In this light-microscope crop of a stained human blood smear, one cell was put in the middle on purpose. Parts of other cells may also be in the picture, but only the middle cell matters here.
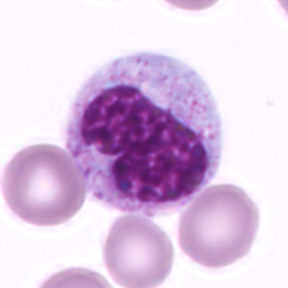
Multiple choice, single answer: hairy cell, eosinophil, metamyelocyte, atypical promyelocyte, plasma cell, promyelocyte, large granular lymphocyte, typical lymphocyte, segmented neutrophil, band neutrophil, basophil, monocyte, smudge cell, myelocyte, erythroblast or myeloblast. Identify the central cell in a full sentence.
The middle of this crop holds a band neutrophil.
